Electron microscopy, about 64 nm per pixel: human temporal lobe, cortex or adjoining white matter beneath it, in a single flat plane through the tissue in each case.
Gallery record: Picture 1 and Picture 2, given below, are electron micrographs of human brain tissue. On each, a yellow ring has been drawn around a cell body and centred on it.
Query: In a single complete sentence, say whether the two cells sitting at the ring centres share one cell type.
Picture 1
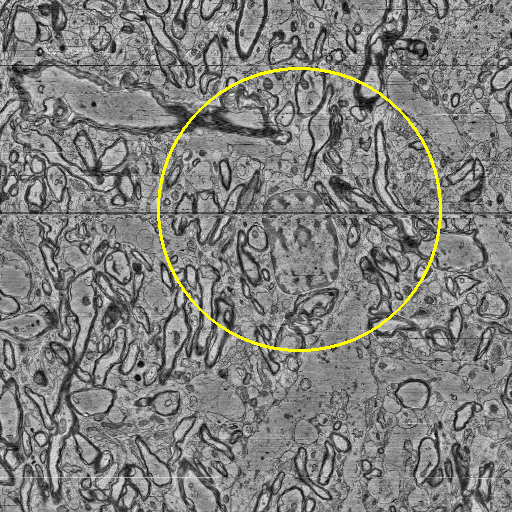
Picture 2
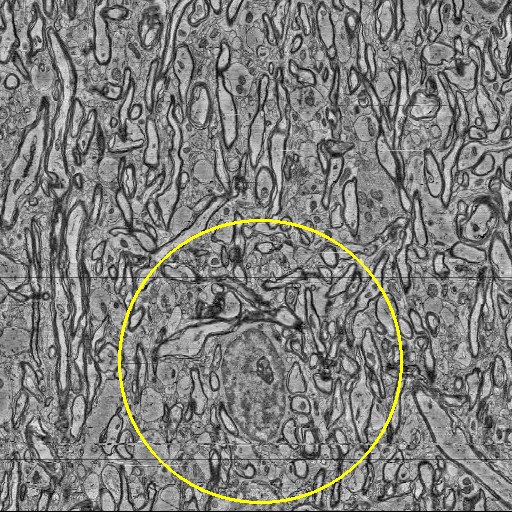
No, in the two pictures the cells at the rings' centres are of two separate types.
